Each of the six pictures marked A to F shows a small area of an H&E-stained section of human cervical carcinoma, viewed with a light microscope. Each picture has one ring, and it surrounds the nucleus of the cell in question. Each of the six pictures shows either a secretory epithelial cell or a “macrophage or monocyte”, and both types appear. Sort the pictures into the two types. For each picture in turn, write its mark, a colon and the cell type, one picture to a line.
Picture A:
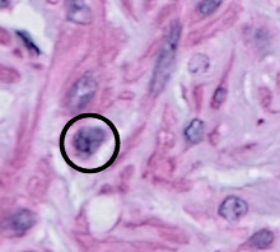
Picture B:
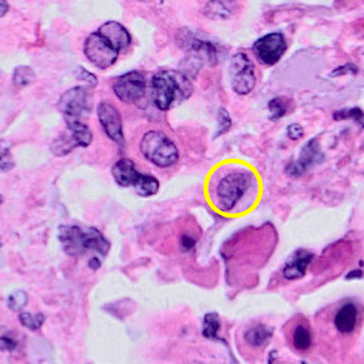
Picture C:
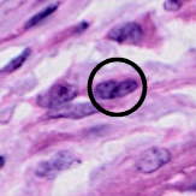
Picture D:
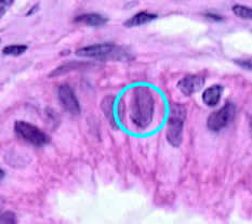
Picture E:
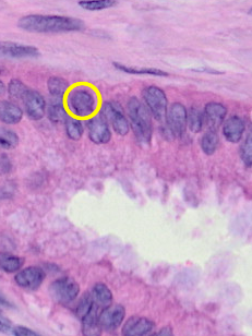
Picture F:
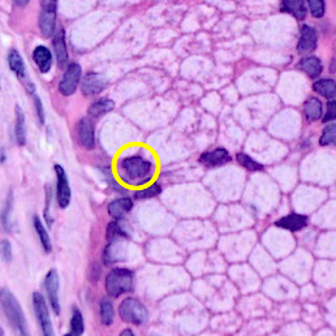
A: macrophage or monocyte
B: macrophage or monocyte
C: macrophage or monocyte
D: secretory epithelial cell
E: secretory epithelial cell
F: secretory epithelial cell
